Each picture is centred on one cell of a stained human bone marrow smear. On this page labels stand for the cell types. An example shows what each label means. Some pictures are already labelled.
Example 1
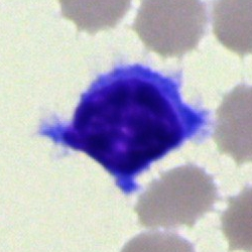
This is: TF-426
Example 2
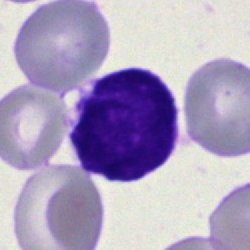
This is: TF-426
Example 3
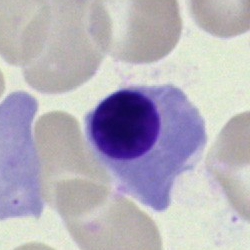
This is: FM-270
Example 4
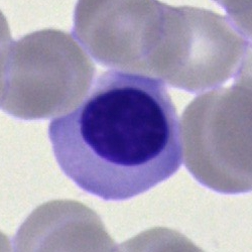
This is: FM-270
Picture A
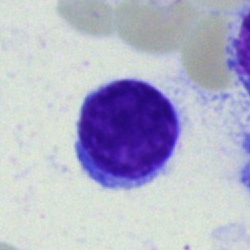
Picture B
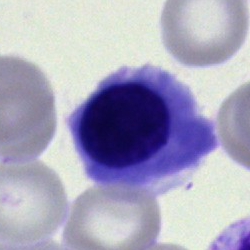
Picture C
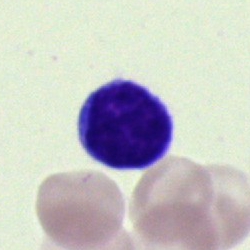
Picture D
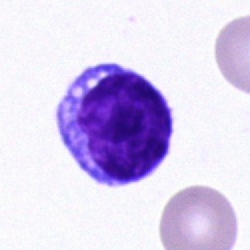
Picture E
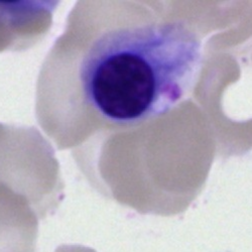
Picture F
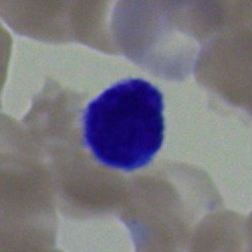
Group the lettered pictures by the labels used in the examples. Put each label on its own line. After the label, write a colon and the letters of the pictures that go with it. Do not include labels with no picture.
TF-426: A, C, D, F
FM-270: B, E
